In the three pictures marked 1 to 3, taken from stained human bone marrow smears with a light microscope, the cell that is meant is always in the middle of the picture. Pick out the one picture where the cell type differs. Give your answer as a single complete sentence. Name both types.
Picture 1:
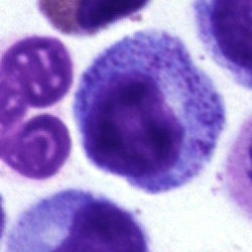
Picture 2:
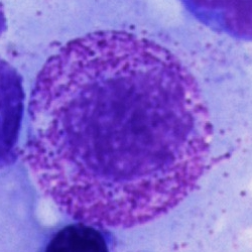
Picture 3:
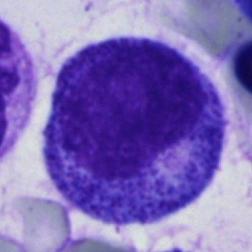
Unlike the rest, which show promyelocytes, picture 2 shows a myelocyte.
